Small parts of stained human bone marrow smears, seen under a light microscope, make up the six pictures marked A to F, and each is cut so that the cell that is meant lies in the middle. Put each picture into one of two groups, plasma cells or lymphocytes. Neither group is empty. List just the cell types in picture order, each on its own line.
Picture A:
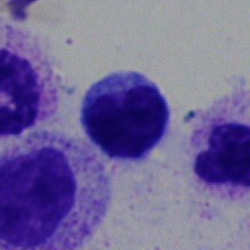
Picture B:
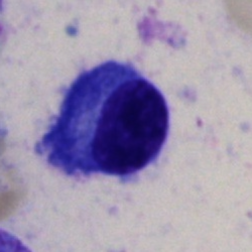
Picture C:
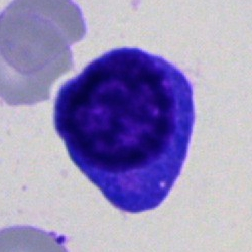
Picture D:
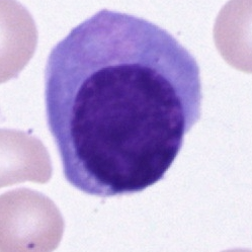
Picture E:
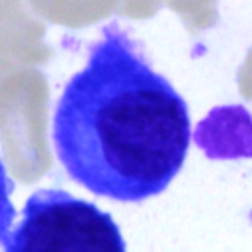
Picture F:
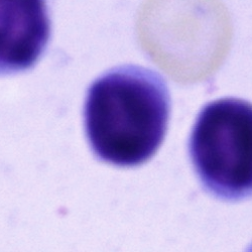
lymphocyte
plasma cell
plasma cell
plasma cell
plasma cell
lymphocyte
